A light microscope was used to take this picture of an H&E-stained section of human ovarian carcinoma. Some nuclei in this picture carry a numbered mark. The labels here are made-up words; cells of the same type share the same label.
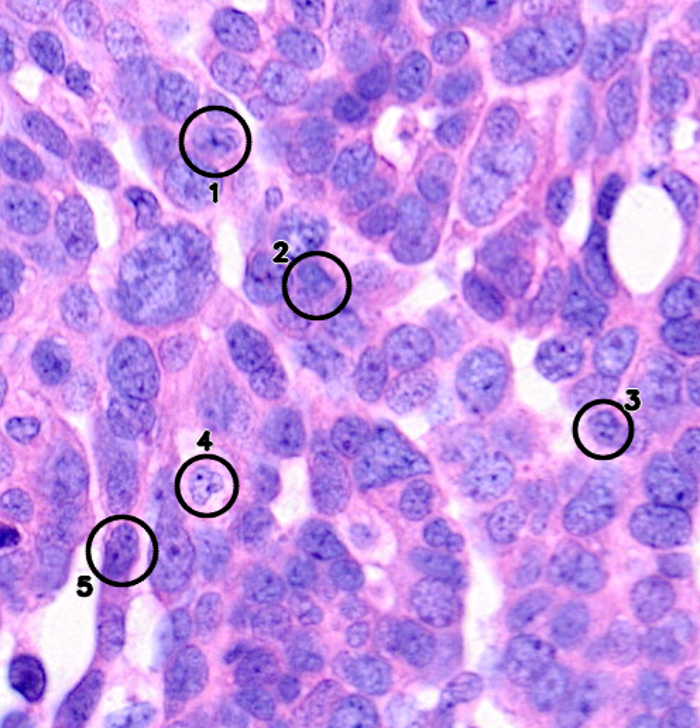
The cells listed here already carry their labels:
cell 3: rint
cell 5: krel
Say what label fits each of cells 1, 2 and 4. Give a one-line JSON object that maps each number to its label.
{"1": "rint", "2": "krel", "4": "rint"}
